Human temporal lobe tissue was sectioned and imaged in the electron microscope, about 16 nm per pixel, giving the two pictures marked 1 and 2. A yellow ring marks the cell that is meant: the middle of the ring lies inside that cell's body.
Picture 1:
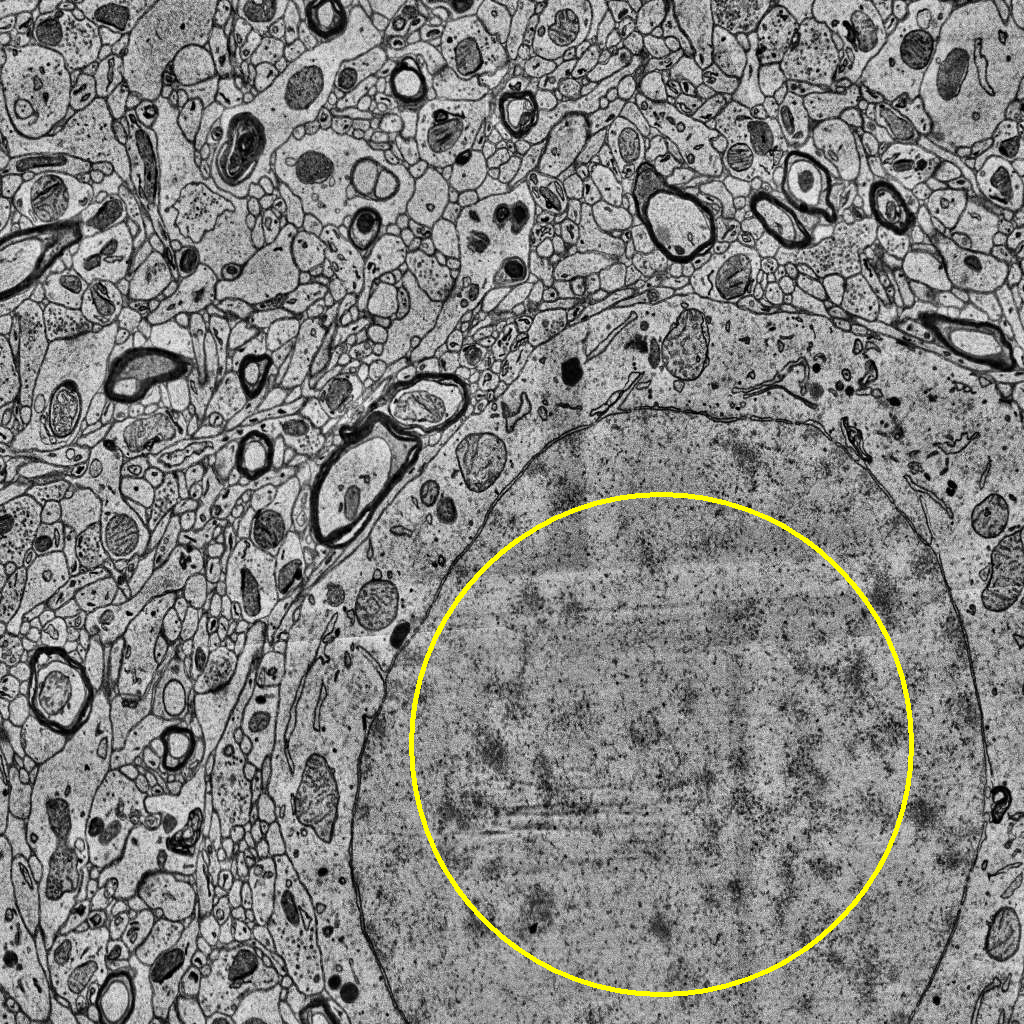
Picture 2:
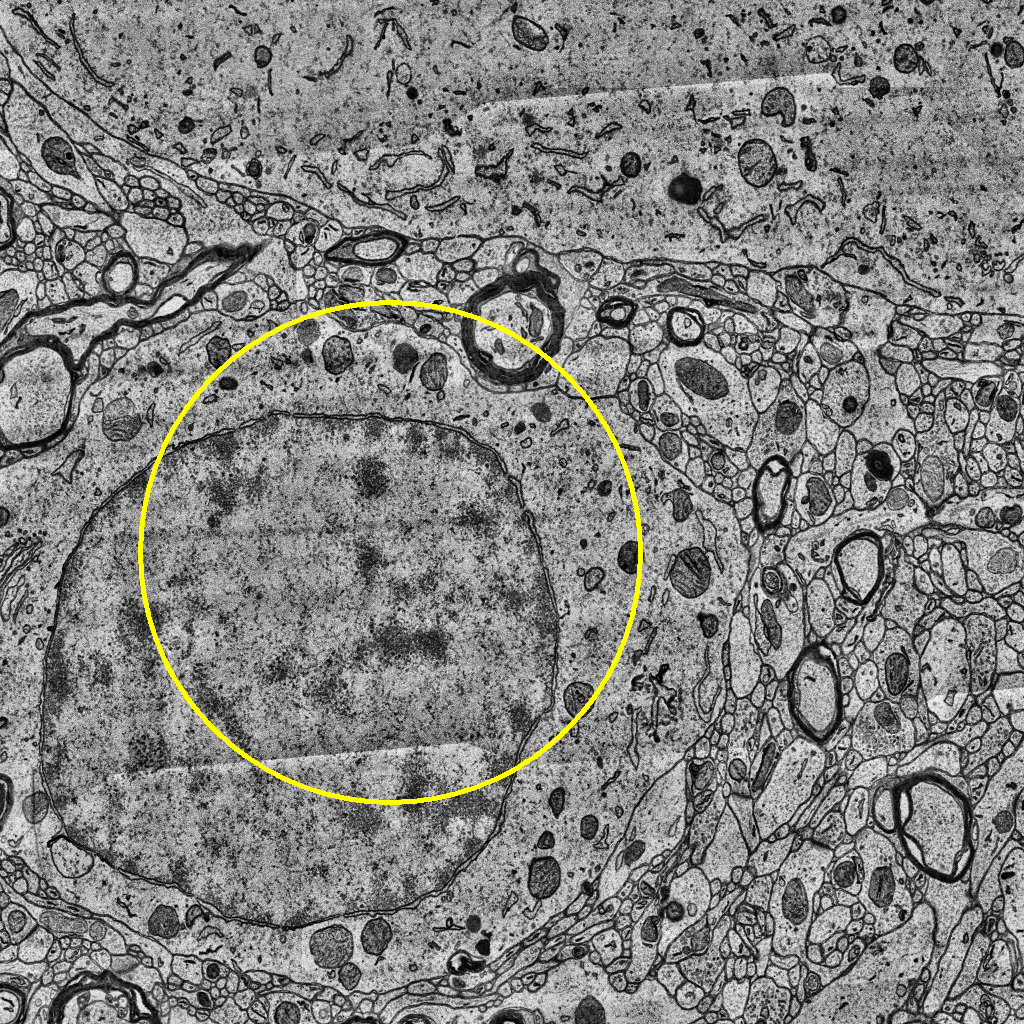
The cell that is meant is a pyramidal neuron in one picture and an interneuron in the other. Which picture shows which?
The cell in picture 1 is a pyramidal neuron, and the one in picture 2 is an interneuron.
